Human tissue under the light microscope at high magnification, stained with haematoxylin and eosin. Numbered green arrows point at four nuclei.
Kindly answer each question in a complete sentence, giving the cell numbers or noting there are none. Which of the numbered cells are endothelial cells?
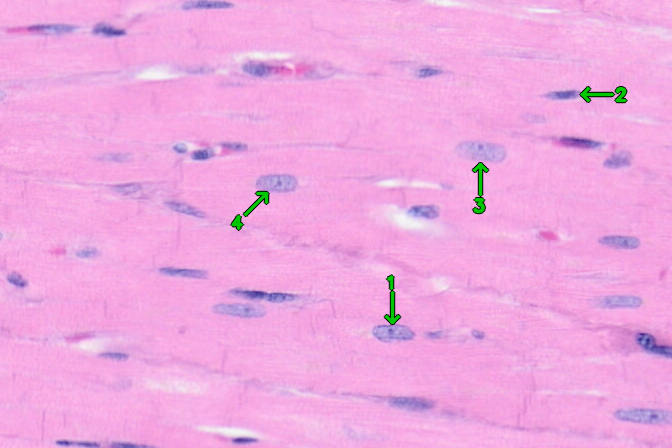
The cell labelled 2 is an endothelial cell, while the remaining numbered cells are not.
